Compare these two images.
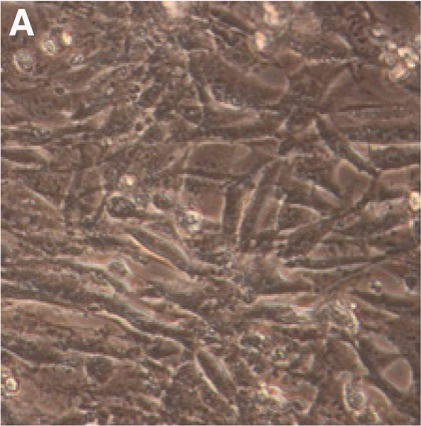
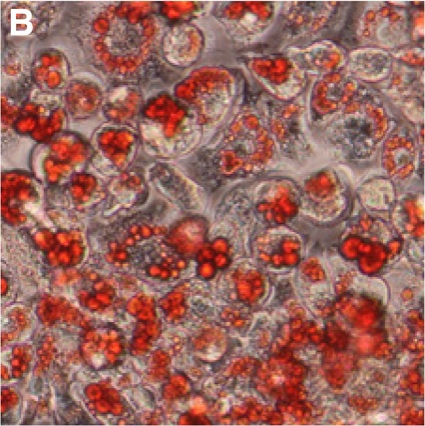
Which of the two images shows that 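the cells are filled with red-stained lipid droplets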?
the second image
